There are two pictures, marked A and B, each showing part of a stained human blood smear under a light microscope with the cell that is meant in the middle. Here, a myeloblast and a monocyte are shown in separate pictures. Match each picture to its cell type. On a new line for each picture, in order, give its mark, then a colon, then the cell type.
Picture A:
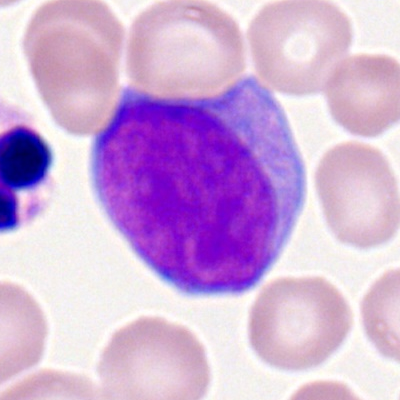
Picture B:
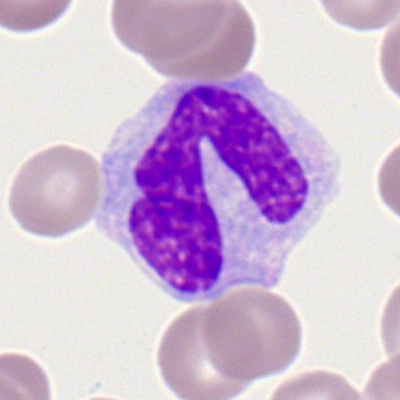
A: myeloblast
B: monocyte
